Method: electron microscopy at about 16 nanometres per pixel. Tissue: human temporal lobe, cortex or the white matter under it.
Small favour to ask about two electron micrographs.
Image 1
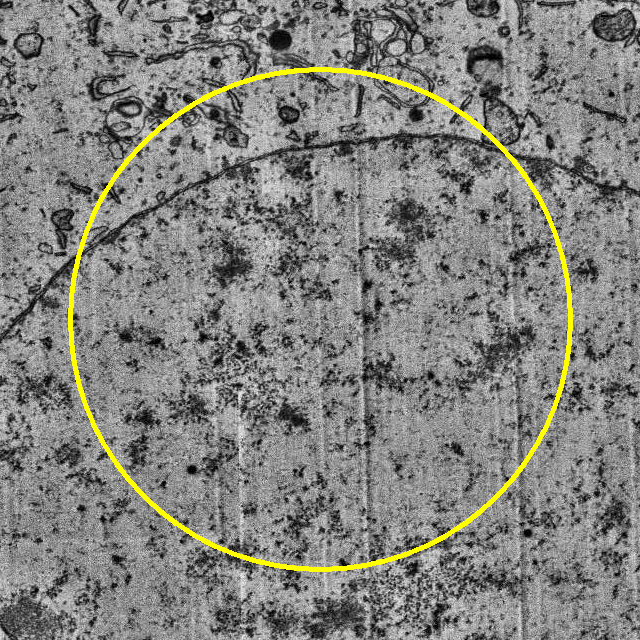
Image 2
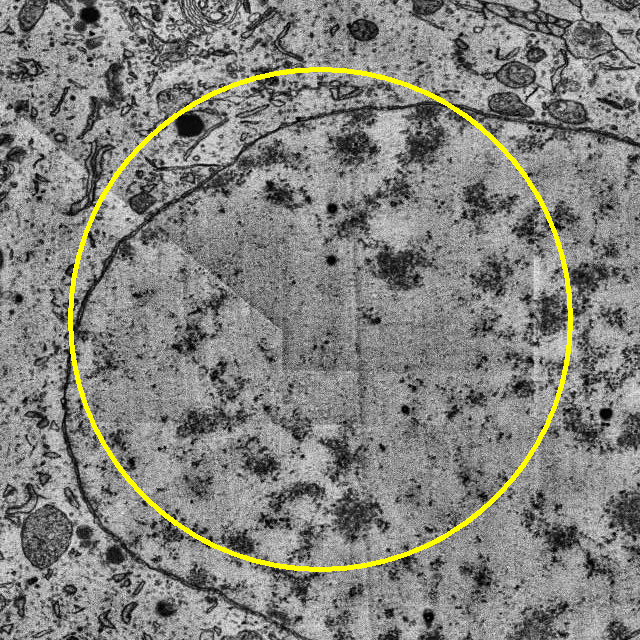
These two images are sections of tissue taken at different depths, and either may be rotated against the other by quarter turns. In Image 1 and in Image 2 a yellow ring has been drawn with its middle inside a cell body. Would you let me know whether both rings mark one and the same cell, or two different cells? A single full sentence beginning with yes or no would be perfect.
No, the ringed cells are two separate cells.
